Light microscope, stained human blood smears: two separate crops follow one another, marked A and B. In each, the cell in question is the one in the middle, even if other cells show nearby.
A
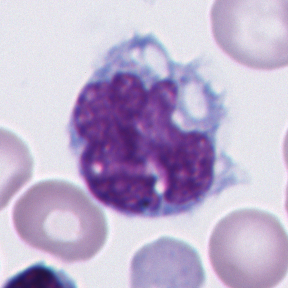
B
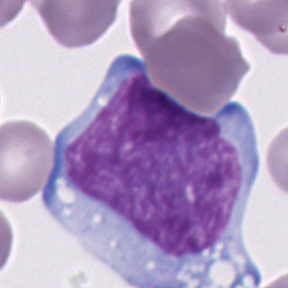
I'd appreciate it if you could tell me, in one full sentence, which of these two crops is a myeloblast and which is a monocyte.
As for the pair, crop A is a monocyte and crop B is a myeloblast.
